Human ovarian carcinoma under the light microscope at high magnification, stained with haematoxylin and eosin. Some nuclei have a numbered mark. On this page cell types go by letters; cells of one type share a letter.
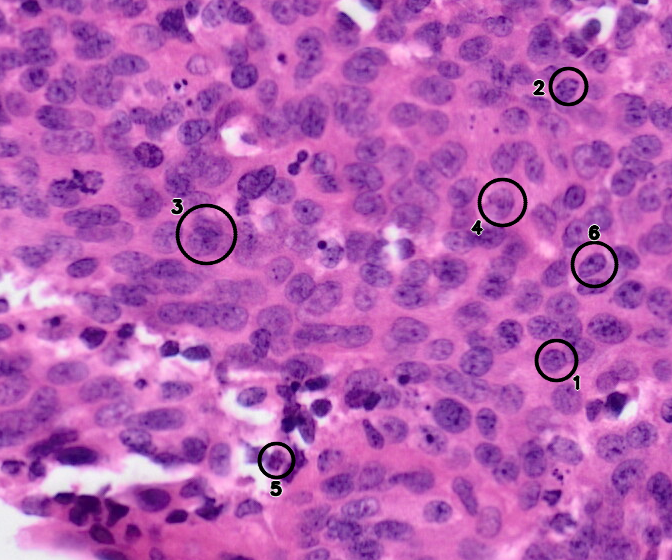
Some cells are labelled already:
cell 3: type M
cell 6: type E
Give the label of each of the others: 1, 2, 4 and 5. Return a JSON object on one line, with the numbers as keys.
{"1": "type M", "2": "type E", "4": "type M", "5": "type M"}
